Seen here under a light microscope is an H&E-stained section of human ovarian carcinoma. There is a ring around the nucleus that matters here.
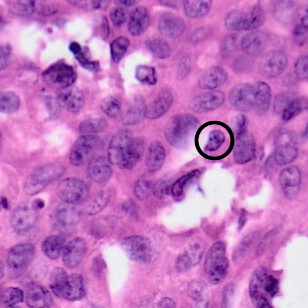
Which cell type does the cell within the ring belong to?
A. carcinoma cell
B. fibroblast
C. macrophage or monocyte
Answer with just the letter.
C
